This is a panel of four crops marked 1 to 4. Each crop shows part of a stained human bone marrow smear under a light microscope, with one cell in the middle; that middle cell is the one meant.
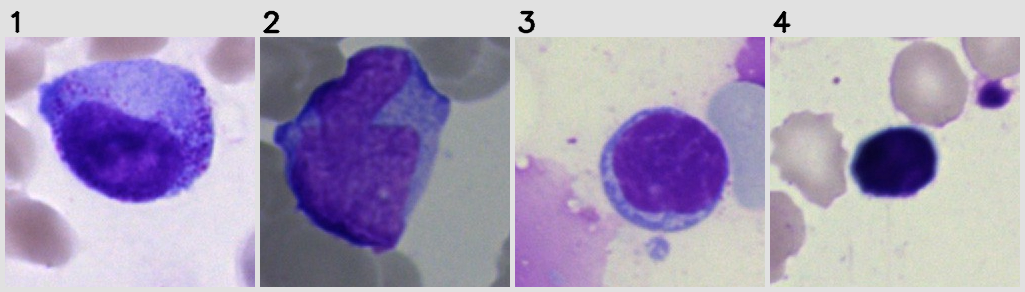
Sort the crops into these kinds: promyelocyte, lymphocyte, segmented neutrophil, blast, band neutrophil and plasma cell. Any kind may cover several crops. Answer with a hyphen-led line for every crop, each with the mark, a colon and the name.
- 1: promyelocyte
- 2: blast
- 3: lymphocyte
- 4: lymphocyte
